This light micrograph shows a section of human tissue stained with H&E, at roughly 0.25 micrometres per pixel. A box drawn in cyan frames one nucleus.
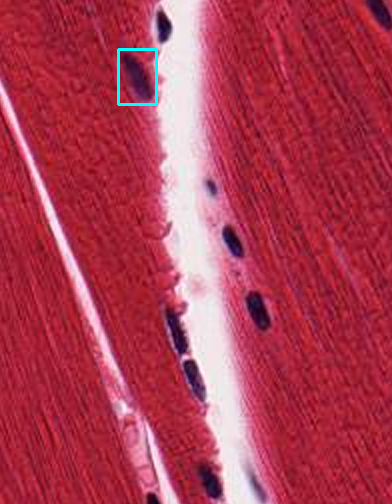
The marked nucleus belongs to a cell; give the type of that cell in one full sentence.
The marked nucleus is part of a skeletal muscle fibre.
